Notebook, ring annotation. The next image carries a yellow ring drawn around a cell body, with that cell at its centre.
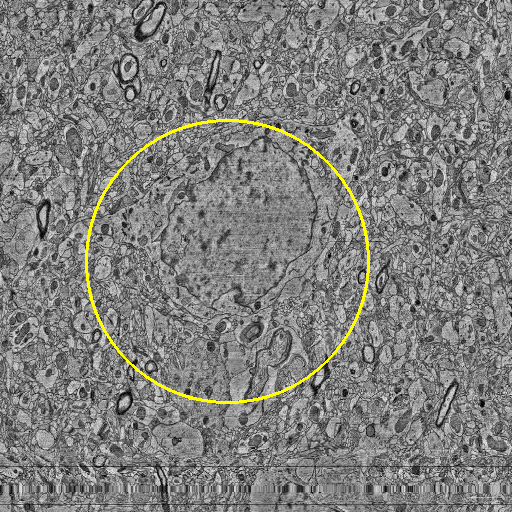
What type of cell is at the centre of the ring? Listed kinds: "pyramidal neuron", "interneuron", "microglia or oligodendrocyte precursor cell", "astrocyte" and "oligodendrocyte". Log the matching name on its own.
interneuron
